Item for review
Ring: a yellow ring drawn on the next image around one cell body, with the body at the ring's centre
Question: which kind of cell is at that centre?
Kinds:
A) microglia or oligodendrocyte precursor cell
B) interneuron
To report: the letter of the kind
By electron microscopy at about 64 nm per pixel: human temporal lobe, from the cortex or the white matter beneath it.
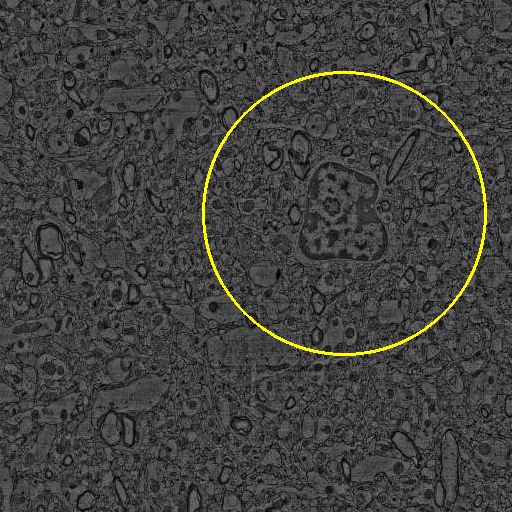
A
